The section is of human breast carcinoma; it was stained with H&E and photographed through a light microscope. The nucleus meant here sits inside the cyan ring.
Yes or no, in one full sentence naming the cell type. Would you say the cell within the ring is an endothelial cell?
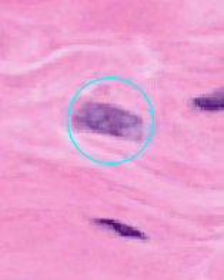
No, the cell within the ring does not represent an endothelial cell; it represents a fibroblast.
